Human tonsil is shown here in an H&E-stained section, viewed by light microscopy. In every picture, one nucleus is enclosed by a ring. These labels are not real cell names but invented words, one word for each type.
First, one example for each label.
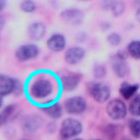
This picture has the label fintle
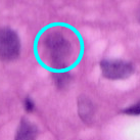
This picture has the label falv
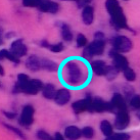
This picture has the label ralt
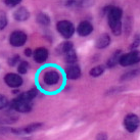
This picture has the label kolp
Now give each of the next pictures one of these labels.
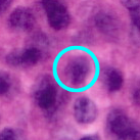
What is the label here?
falv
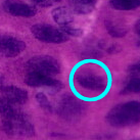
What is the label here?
falv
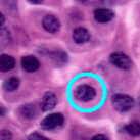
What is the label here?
kolp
